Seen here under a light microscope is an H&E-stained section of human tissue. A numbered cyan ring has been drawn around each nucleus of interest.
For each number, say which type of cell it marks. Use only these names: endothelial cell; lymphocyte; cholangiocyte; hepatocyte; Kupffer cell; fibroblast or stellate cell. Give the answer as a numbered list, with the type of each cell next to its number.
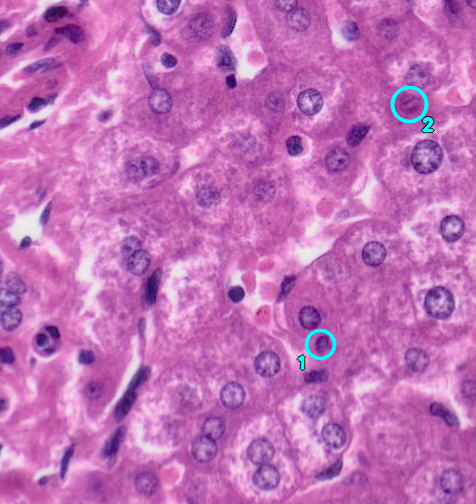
1. fibroblast or stellate cell
2. hepatocyte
